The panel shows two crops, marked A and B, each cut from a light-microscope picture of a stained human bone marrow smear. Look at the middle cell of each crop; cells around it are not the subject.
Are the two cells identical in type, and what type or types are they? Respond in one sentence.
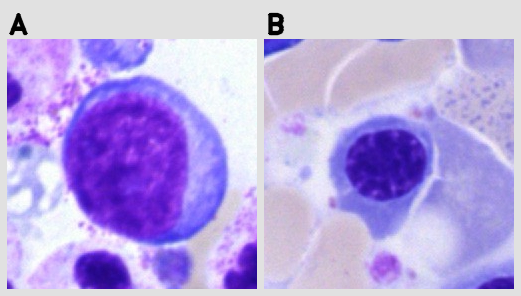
No, the cell shown in crop A is a blast, and the cell shown in crop B is an erythroblast.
